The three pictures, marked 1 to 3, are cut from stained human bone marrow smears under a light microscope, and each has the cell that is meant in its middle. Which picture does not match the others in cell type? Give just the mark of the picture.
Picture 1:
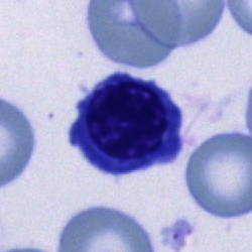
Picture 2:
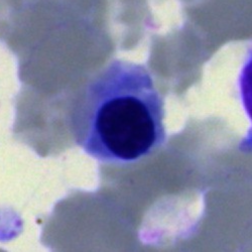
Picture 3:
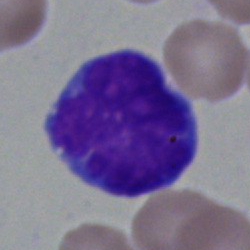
3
